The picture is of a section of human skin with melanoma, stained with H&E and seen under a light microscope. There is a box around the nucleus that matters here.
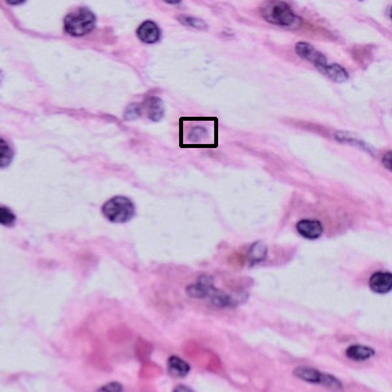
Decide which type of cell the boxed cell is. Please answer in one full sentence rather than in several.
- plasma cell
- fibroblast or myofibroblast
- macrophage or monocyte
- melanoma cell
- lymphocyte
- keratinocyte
In the tissue at hand, the boxed cell is a macrophage or monocyte.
